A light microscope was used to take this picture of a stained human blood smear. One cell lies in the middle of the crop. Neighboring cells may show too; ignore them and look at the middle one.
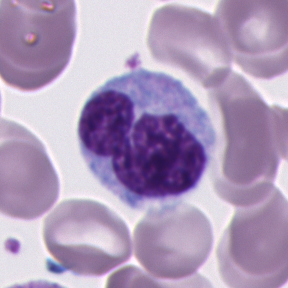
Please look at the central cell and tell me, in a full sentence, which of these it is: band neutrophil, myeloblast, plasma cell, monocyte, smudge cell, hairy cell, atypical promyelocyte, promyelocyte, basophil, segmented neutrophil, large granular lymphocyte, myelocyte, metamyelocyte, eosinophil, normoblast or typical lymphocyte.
The cell of interest, in the center, is a monocyte.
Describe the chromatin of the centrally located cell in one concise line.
One feature to record is coarsely clumped chromatin.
